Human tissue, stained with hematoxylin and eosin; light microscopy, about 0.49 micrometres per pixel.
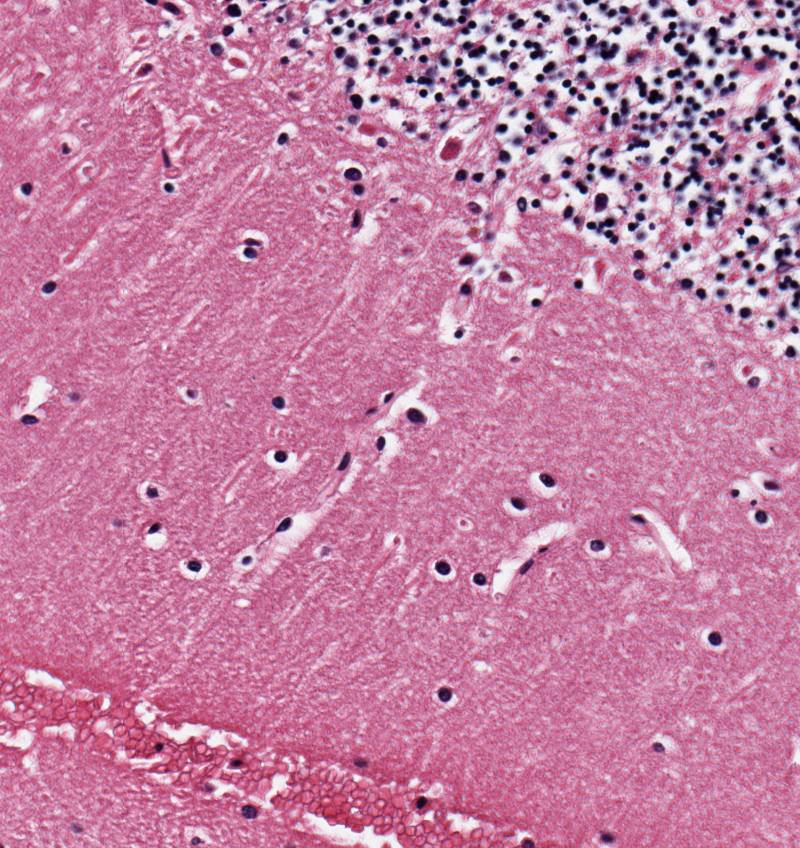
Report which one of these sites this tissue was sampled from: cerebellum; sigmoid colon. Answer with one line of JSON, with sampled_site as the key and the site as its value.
{"sampled_site": "cerebellum"}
